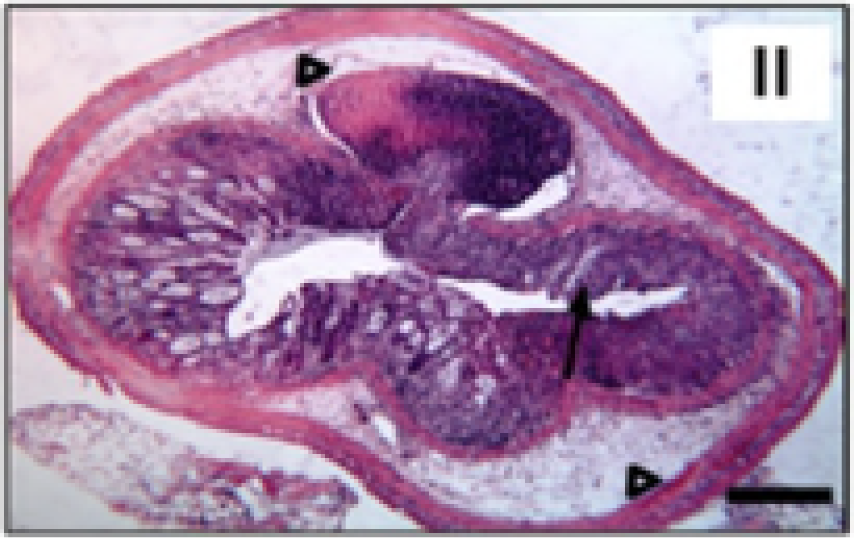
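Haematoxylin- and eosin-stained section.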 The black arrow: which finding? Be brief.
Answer: Loss of colonic epithelium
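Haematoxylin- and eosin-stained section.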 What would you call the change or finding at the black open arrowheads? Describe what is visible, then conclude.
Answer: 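A wide, pale, loosely textured band lies between the purple mucosa and the pink muscle wall. The marked band is far broader than a normal thin submucosa.
Conclusion: submucosal oedema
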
